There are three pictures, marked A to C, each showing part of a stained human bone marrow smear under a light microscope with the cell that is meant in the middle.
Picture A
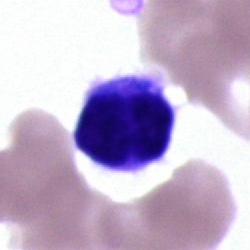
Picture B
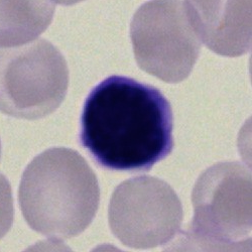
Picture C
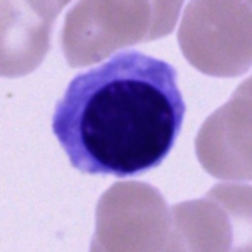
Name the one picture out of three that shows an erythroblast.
C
